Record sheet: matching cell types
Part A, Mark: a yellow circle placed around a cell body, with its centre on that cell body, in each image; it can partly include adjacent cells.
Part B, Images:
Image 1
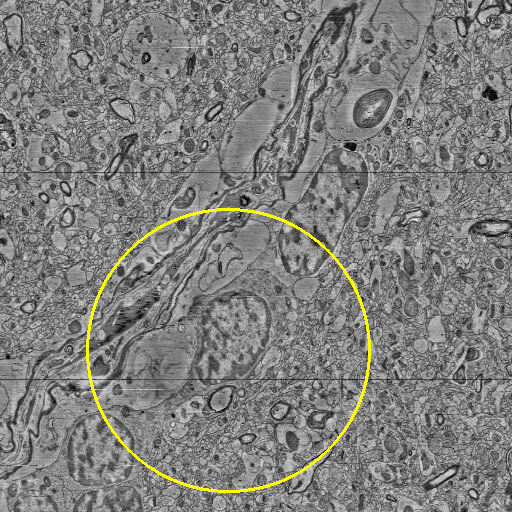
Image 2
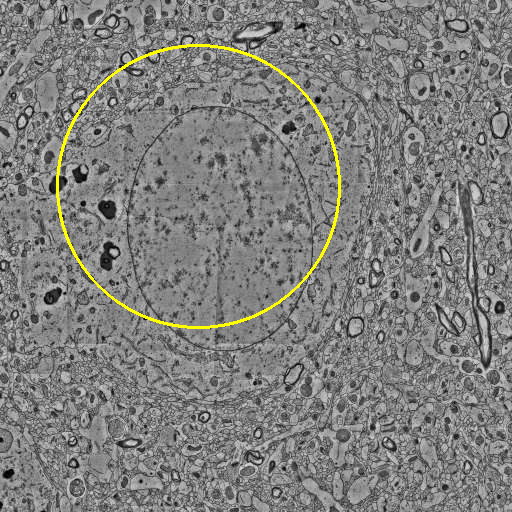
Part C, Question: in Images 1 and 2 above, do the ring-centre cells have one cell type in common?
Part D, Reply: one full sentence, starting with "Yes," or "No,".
No, the ring-centre cells of Image 1 and Image 2 are each of a separate cell type.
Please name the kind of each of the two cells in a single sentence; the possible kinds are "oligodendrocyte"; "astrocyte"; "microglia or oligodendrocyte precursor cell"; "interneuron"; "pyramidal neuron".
In the first picture the ring is centred on an oligodendrocyte, and in the second on a pyramidal neuron.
